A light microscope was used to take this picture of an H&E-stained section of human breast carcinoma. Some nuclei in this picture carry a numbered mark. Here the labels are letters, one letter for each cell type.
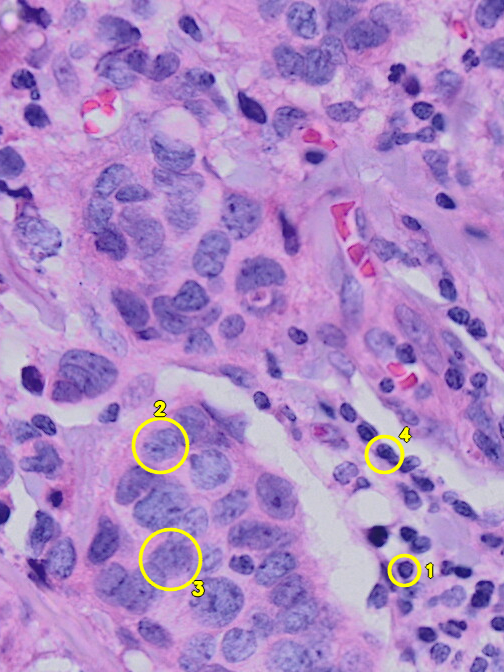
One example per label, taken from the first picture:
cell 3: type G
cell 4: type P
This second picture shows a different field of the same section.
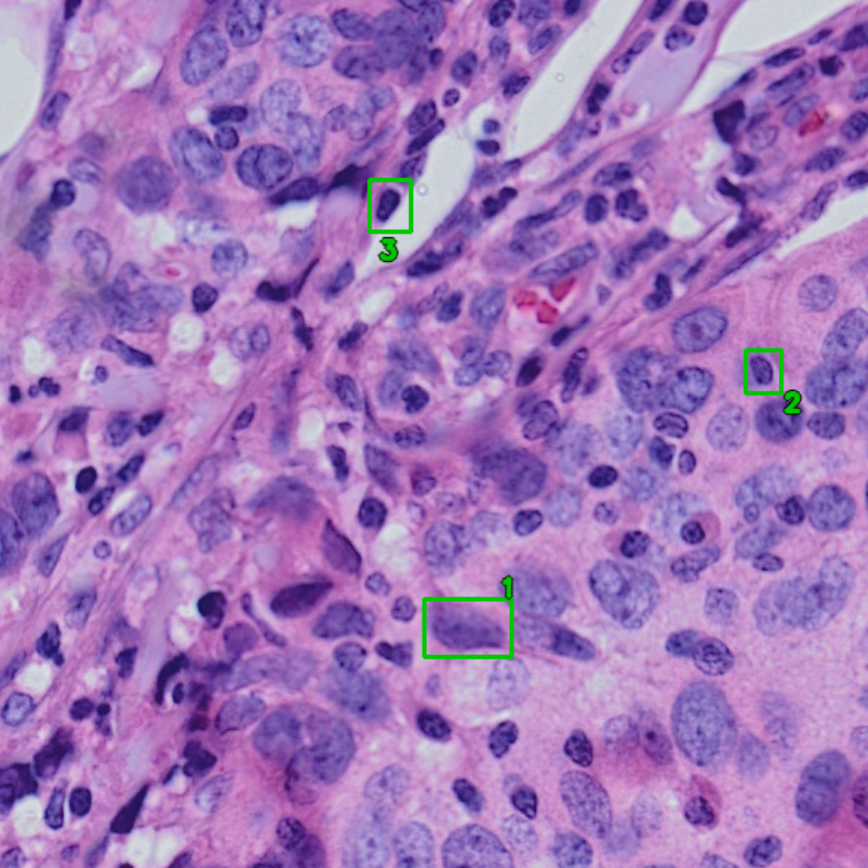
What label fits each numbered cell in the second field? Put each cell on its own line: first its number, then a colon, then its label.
1: type G
2: type G
3: type P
